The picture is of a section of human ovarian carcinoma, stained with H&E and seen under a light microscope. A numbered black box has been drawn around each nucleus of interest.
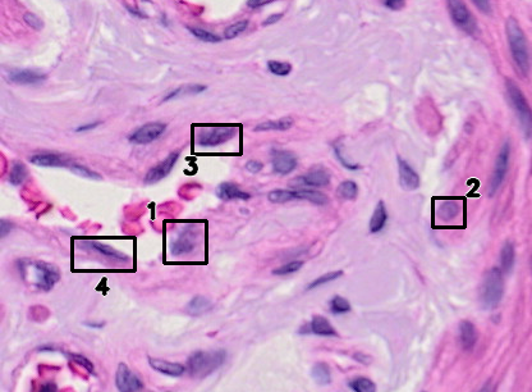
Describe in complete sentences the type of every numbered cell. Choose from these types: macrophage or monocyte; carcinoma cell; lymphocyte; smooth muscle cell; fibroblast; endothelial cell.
Cells 1, 3 and 4 are endothelial cells. Cell 2 is a smooth muscle cell.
